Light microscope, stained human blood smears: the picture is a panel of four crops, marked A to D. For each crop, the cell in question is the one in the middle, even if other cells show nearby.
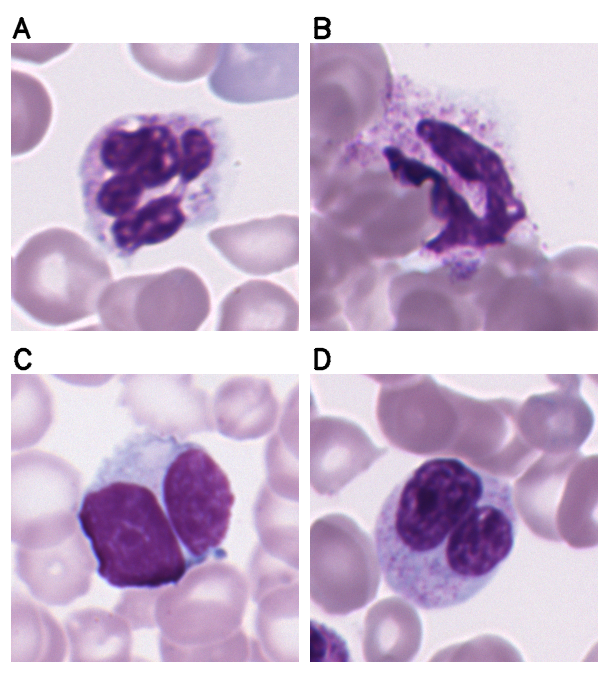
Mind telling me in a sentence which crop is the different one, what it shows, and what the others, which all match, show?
In every crop except crop C, which shows a monocyte, segmented neutrophils are shown.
